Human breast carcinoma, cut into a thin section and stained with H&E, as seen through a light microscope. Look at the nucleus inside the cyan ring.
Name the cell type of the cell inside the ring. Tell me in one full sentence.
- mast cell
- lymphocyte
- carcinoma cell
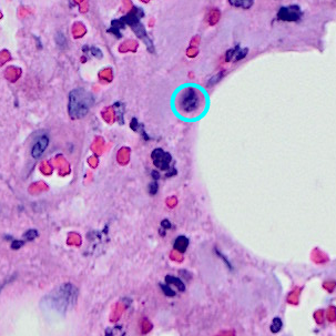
Recorded by type, the cell inside the ring is a mast cell.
